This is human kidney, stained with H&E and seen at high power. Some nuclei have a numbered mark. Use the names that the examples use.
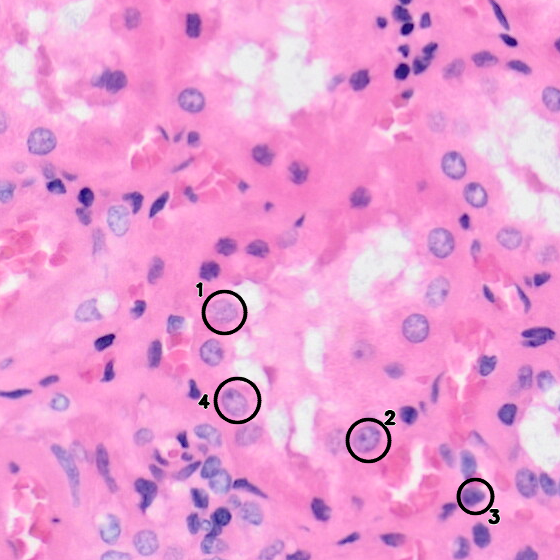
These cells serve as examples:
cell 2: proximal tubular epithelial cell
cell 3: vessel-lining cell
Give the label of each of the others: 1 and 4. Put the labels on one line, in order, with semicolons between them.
proximal tubular epithelial cell; proximal tubular epithelial cell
